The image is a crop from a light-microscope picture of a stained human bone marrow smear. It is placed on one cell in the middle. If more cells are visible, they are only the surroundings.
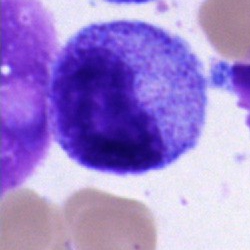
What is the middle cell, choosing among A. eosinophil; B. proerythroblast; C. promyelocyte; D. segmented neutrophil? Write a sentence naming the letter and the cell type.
The cell centered in the crop is a promyelocyte, making option C the correct pick.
